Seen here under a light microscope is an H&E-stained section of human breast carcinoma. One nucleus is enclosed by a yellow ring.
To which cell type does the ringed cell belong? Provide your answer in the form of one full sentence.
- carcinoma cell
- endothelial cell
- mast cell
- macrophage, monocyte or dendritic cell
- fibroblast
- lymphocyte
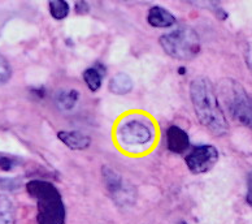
The classification of the ringed cell is as a macrophage, monocyte or dendritic cell.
